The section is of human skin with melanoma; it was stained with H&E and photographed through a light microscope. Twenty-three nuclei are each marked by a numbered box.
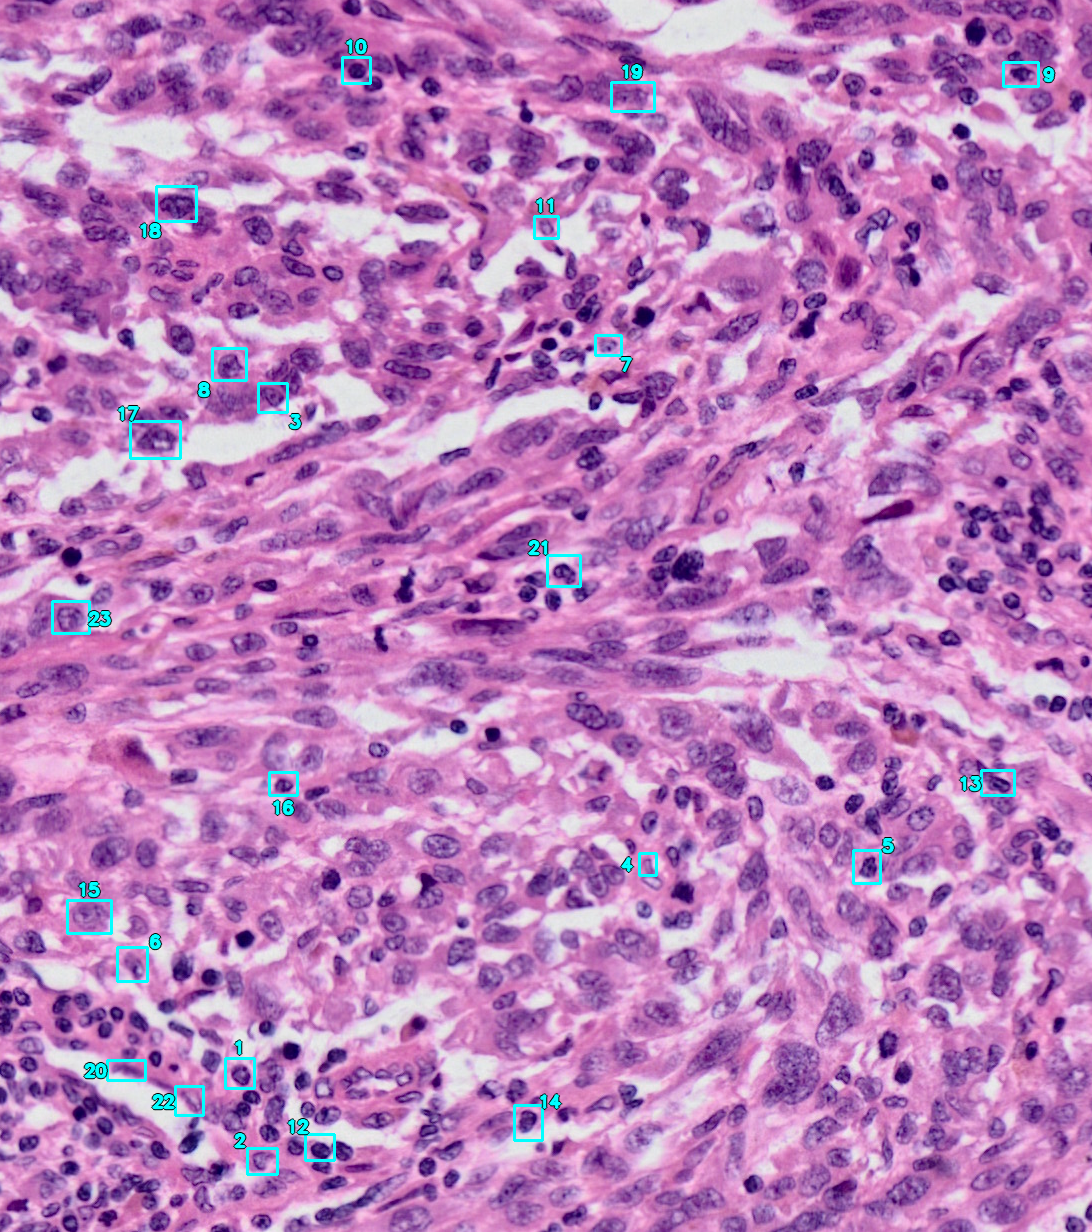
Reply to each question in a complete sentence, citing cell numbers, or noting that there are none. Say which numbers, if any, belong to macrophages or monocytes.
On this slide, the cells numbered 6 and 11 are macrophages or monocytes.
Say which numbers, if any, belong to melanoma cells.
Cells that were given the numbers 3, 8, 15, 17, 18, 19 and 23 are melanoma cells.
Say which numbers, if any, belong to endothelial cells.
The cells assigned the numbers 2, 4, 20 and 22 are endothelial cells.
